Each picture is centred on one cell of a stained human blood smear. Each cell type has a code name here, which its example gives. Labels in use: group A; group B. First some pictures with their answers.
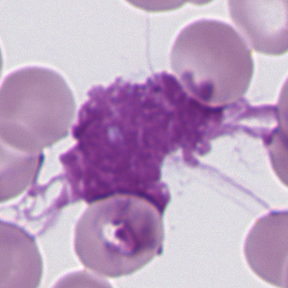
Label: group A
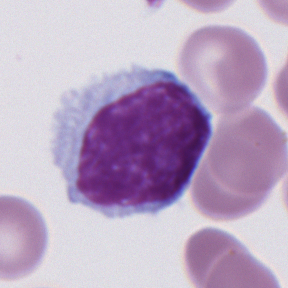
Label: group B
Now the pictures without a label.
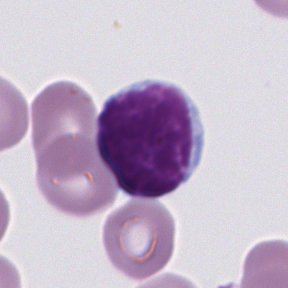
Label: group B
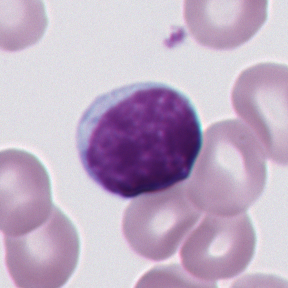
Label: group B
